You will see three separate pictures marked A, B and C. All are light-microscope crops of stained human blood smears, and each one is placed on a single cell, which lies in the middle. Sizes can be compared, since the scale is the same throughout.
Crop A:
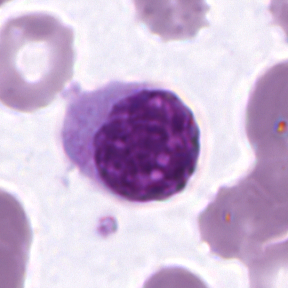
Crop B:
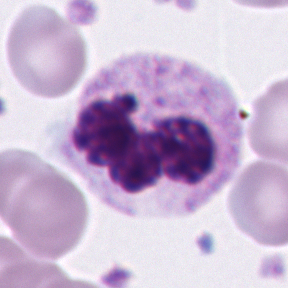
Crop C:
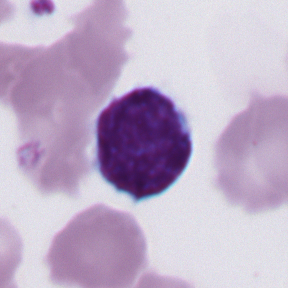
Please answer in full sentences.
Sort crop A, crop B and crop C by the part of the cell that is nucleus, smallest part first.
They run B, A, C, the least filled first.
